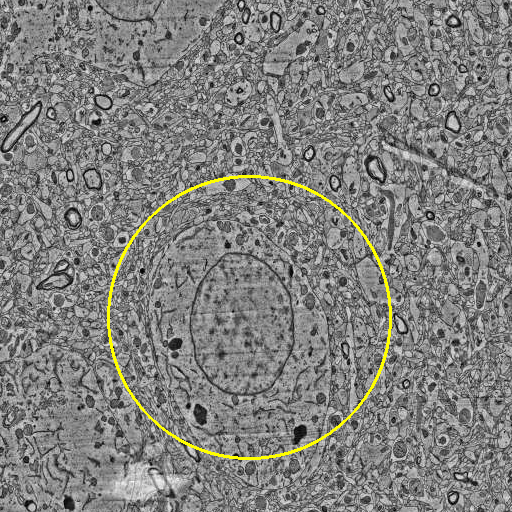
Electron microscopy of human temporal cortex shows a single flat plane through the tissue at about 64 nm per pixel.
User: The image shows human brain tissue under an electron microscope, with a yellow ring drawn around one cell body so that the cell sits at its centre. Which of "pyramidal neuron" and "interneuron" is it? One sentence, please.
At the centre of the ring sits a pyramidal neuron.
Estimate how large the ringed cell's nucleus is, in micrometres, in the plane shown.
About 9 by 7 micrometers for the nucleus, in this plane.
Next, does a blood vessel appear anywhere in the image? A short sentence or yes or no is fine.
No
